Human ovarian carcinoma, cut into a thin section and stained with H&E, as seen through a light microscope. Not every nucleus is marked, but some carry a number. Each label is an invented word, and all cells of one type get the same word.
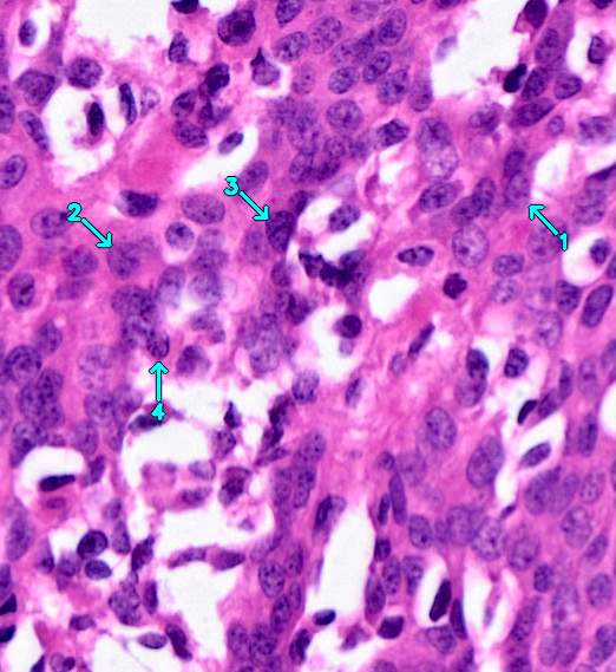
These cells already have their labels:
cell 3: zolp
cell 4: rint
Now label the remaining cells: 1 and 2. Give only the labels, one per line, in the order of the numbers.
zolp
zolp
